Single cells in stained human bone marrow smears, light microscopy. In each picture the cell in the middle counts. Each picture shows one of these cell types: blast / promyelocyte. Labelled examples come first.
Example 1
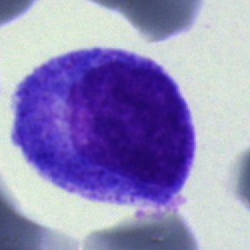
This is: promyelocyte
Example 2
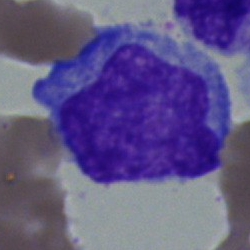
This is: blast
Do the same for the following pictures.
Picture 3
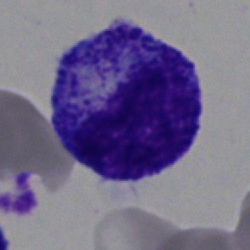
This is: promyelocyte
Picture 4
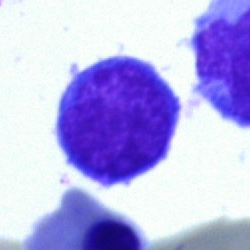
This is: blast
